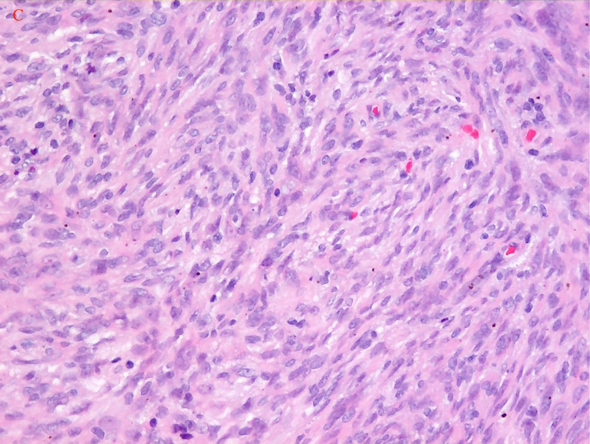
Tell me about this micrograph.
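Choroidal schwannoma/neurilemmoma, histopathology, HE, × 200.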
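The nuclei are purple, elongated to oval and tapered, and many lie roughly parallel within each bundle. The cytoplasm is pale pink and fibrillary, drawn out into long processes whose borders between cells are indistinct. A few small red blood cells are scattered among the tumor cells, and paler, looser areas lie between some bundles.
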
